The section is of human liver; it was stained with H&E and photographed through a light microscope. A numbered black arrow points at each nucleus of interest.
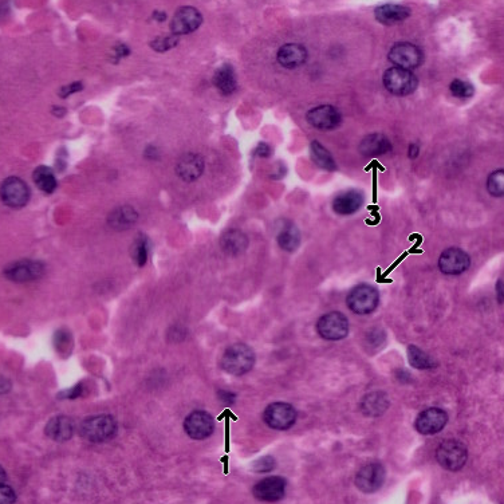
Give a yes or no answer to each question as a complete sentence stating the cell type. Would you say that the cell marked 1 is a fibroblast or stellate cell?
Yes, number 1 in this section denotes a fibroblast or stellate cell.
